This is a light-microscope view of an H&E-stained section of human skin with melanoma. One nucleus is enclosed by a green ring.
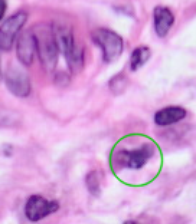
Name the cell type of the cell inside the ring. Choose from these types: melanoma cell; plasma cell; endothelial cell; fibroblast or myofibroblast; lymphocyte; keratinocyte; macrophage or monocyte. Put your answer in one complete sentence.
With respect to cell type, the cell inside the ring is a plasma cell.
